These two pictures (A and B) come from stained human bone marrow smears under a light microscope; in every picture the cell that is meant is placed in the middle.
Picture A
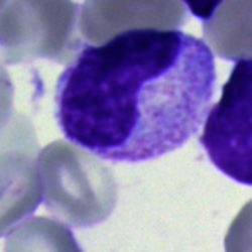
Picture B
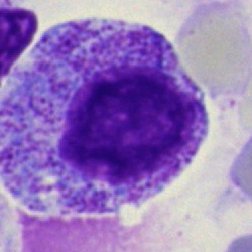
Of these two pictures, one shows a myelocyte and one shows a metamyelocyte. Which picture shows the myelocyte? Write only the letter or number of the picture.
B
